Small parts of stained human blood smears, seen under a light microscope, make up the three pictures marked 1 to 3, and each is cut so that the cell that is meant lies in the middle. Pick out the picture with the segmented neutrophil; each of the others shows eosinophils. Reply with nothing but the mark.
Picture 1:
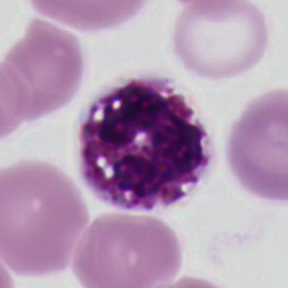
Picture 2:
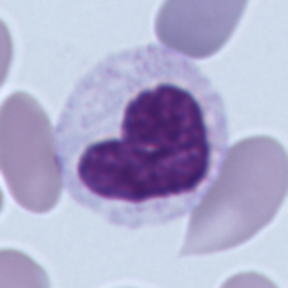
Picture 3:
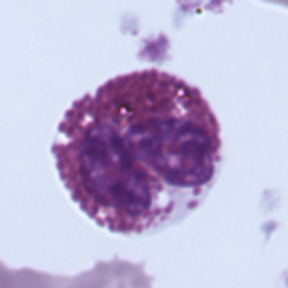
2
